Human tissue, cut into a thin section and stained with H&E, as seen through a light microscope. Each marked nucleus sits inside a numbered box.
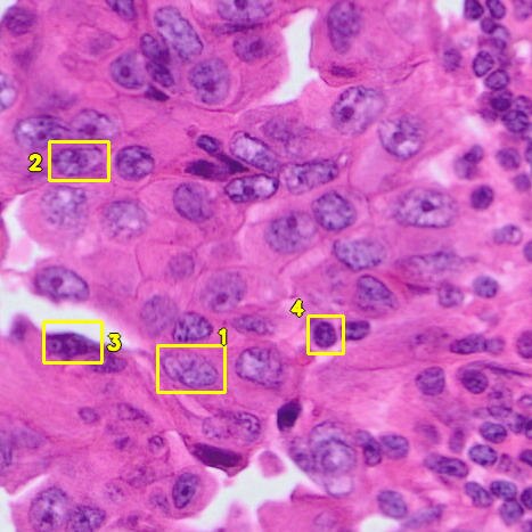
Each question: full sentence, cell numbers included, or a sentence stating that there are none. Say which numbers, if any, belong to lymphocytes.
Among the numbered cells, a lymphocyte occurs only once, as cell 4.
